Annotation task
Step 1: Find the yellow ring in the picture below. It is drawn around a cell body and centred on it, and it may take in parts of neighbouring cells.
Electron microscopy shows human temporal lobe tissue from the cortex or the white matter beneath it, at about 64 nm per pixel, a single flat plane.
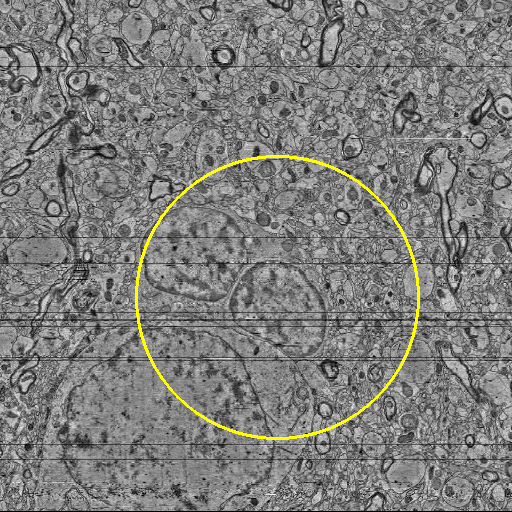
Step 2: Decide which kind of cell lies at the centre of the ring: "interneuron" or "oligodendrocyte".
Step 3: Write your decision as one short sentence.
The kind of cell at the ring's centre is an oligodendrocyte.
